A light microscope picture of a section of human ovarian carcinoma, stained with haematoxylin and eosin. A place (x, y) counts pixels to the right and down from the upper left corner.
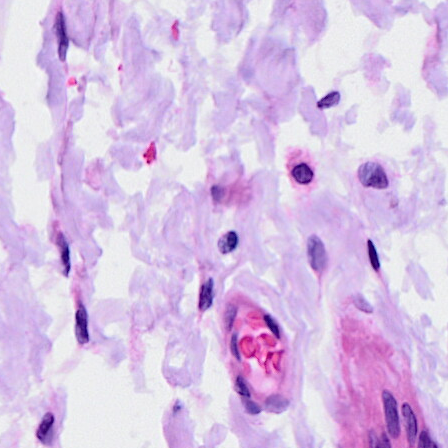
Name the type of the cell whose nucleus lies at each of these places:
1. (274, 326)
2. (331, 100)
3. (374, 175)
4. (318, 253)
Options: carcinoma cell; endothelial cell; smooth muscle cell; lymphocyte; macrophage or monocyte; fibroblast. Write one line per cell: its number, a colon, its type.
1: endothelial cell
2: fibroblast
3: fibroblast
4: fibroblast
